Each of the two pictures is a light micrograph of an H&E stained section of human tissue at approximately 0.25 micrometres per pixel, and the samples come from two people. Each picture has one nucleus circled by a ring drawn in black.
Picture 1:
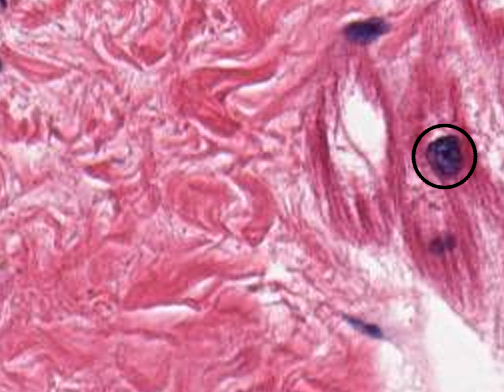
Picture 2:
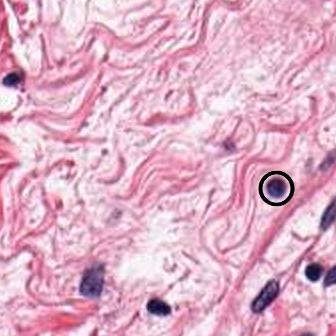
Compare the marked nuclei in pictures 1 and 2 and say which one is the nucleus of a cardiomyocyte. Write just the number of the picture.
1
